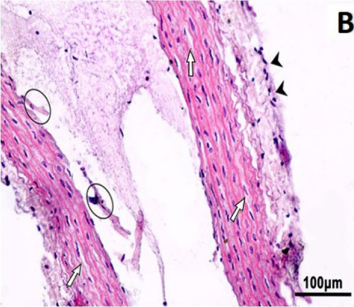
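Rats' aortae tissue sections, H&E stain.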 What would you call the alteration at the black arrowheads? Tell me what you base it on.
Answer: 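Inflammatory cellular infiltration. Arrowheads point to small dark round nuclei clustered along the outer edge of the wall.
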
